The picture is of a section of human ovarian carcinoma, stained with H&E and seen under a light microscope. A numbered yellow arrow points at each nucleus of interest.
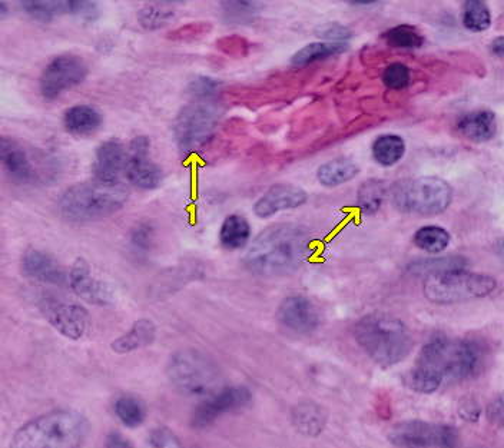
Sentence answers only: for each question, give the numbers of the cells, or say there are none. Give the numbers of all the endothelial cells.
The numbered cells include exactly one that is an endothelial cell, which is cell 1.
